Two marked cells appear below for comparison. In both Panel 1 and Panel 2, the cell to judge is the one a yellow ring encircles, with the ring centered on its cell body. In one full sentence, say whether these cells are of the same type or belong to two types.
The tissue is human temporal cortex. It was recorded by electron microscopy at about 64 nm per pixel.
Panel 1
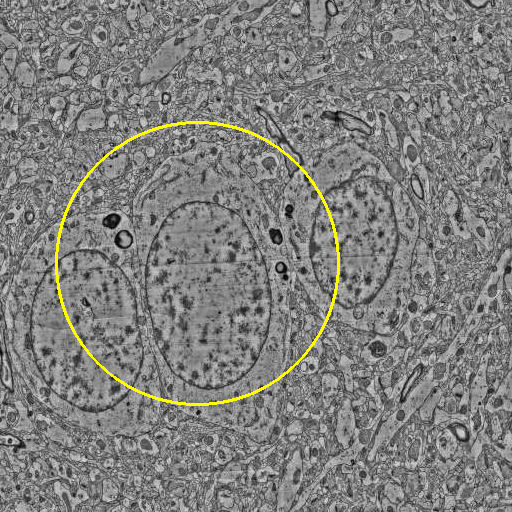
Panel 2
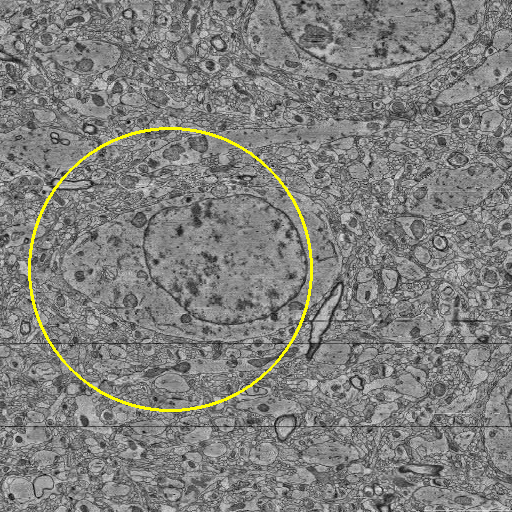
The cell centered in the Panel 1 ring and the one in Panel 2 are of the same type.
